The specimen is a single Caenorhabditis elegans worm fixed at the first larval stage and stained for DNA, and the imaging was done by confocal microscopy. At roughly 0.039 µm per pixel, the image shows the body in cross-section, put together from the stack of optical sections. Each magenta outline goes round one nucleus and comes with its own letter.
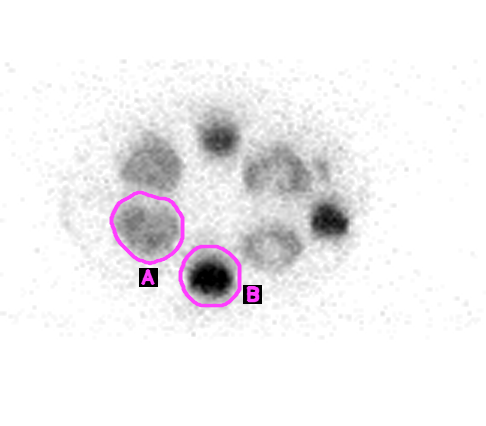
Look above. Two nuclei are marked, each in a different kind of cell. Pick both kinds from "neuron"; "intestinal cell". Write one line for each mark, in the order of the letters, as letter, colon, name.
A: intestinal cell
B: neuron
